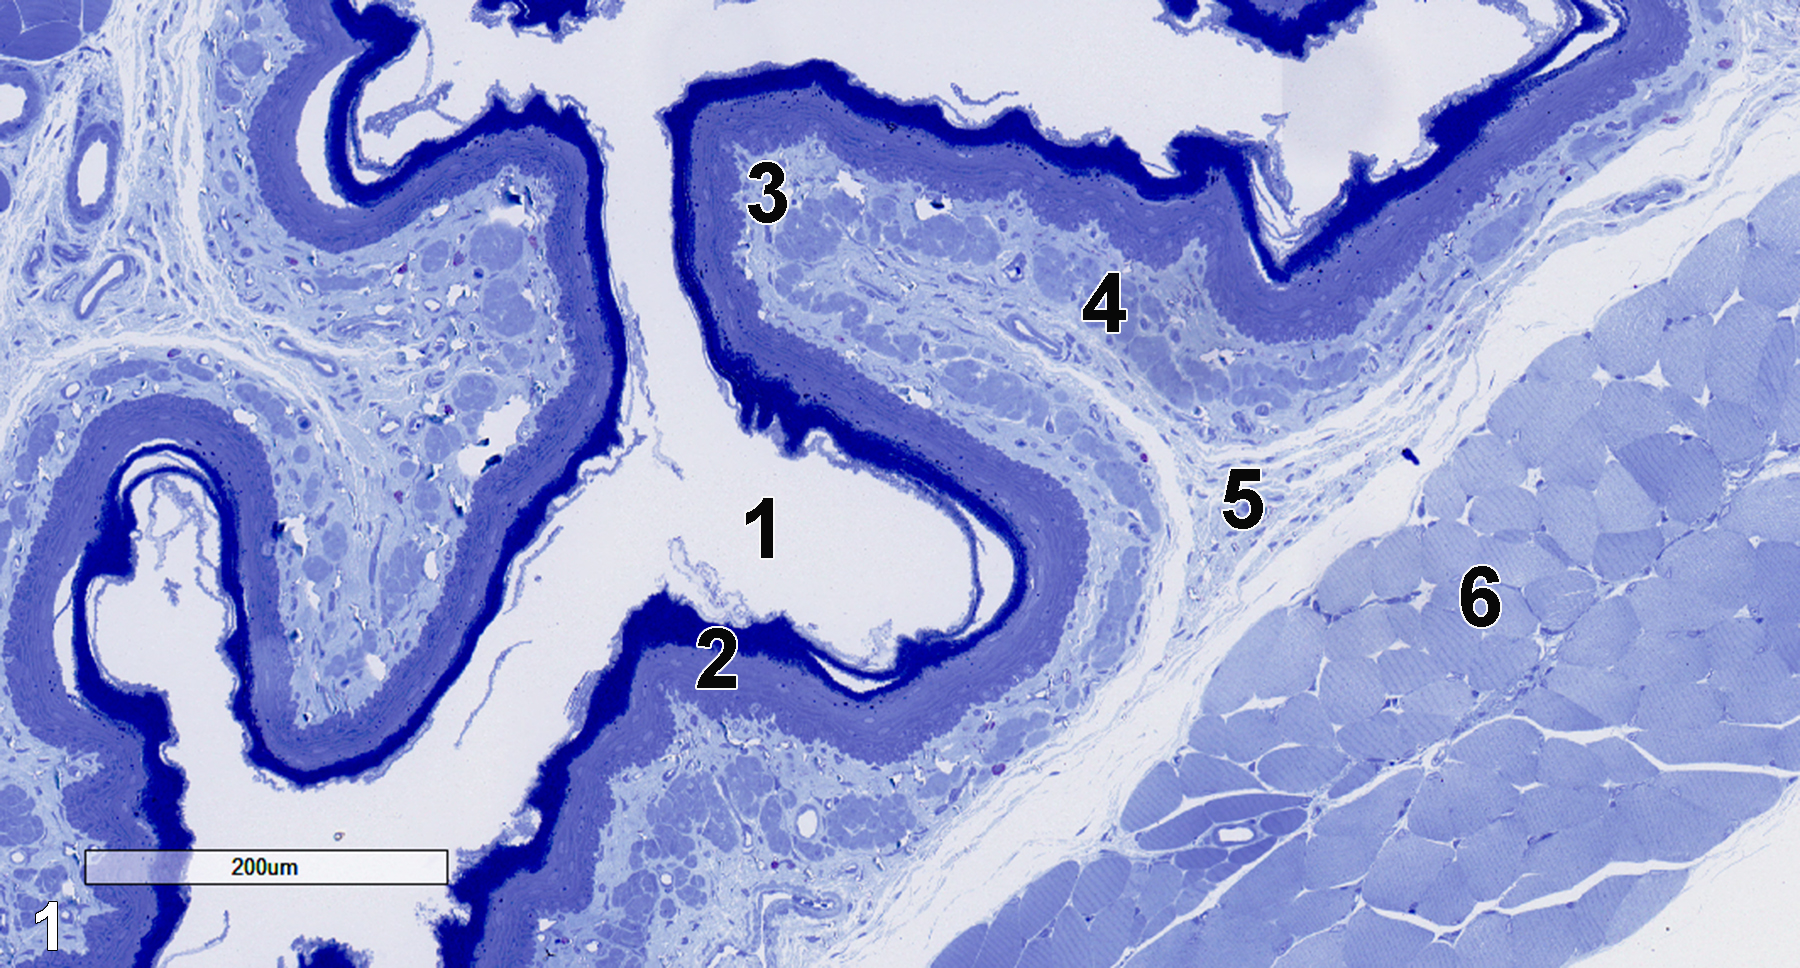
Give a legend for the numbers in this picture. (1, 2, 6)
1. esophageal lumen
2. stratified squamous epithelium
6. inner layer of tunica muscularis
